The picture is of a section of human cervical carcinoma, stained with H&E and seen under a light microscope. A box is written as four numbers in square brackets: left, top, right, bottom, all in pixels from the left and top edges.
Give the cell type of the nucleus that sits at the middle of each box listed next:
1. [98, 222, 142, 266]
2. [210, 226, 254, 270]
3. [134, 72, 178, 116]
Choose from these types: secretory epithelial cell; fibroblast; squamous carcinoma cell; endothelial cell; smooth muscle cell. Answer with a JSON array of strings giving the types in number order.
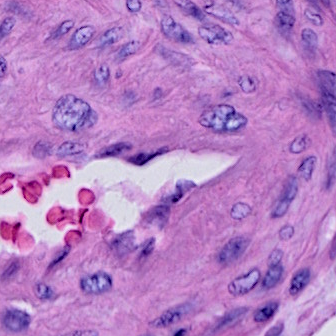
["endothelial cell", "smooth muscle cell", "smooth muscle cell"]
